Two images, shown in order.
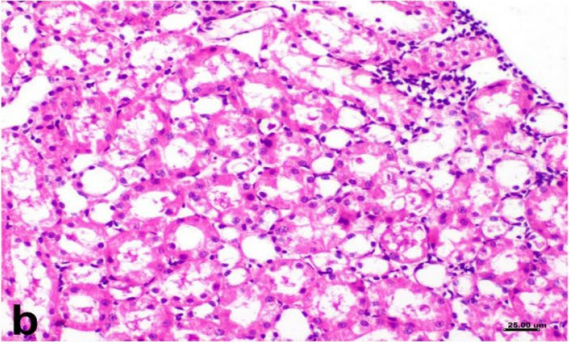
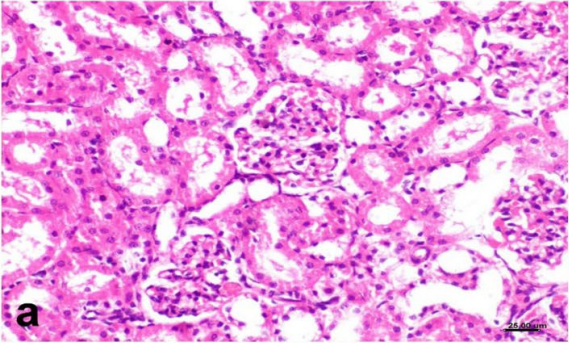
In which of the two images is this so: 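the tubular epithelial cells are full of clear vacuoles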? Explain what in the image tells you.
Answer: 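The first image. First image: many tubule linings are pale with clear vacuolated cytoplasm. Second image: tubule linings are mostly evenly pink with intact cytoplasm.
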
